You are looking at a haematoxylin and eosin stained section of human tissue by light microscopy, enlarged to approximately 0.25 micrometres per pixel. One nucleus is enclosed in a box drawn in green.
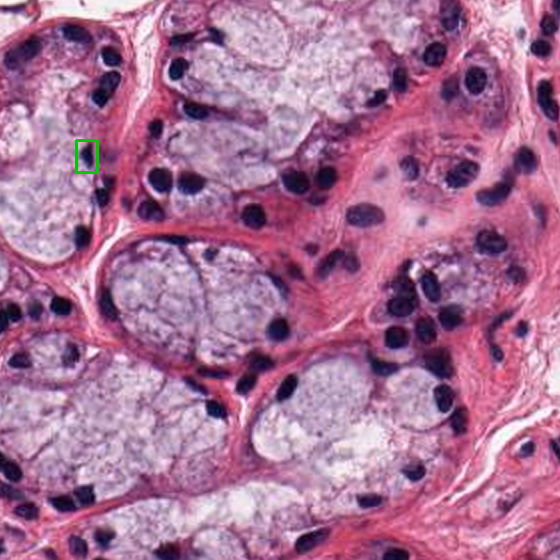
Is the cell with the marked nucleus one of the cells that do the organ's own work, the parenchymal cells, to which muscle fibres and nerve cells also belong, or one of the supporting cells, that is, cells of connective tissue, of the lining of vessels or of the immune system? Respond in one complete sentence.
The marked nucleus is held by a parenchymal cell, namely a mucous gland cell.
